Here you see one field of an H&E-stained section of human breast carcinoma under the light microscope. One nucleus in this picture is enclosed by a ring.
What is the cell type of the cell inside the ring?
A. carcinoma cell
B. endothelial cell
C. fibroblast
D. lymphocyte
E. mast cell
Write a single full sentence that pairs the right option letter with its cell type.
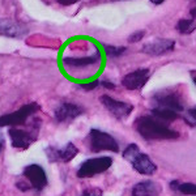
Option B matches the cell inside the ring, which is an endothelial cell.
